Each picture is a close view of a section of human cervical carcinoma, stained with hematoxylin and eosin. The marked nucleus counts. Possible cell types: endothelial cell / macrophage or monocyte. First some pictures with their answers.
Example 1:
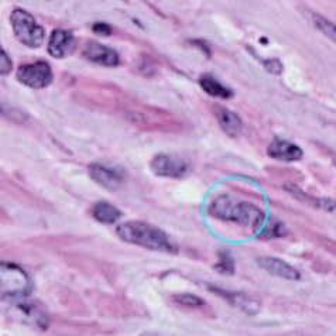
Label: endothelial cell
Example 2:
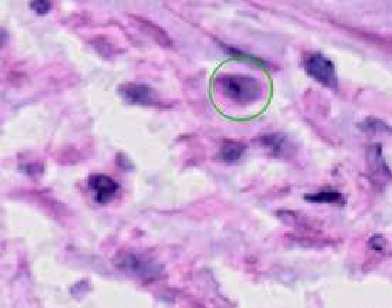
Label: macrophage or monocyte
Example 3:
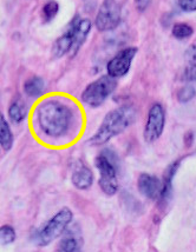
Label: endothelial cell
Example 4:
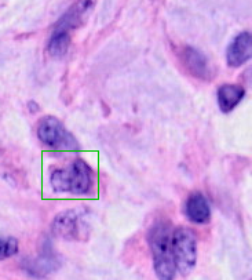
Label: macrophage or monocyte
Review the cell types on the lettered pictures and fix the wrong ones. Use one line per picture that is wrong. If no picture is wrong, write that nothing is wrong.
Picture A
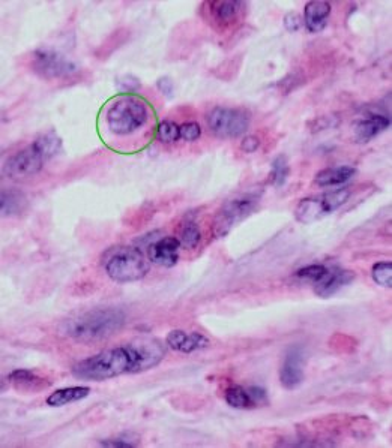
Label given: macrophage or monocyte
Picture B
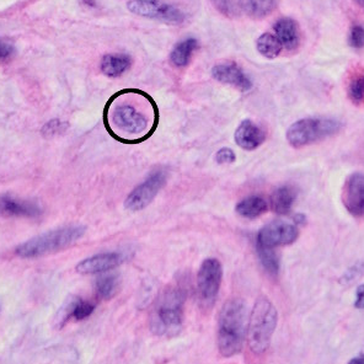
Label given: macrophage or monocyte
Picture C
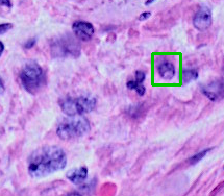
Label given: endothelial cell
C is labelled endothelial cell; correct label: macrophage or monocyte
